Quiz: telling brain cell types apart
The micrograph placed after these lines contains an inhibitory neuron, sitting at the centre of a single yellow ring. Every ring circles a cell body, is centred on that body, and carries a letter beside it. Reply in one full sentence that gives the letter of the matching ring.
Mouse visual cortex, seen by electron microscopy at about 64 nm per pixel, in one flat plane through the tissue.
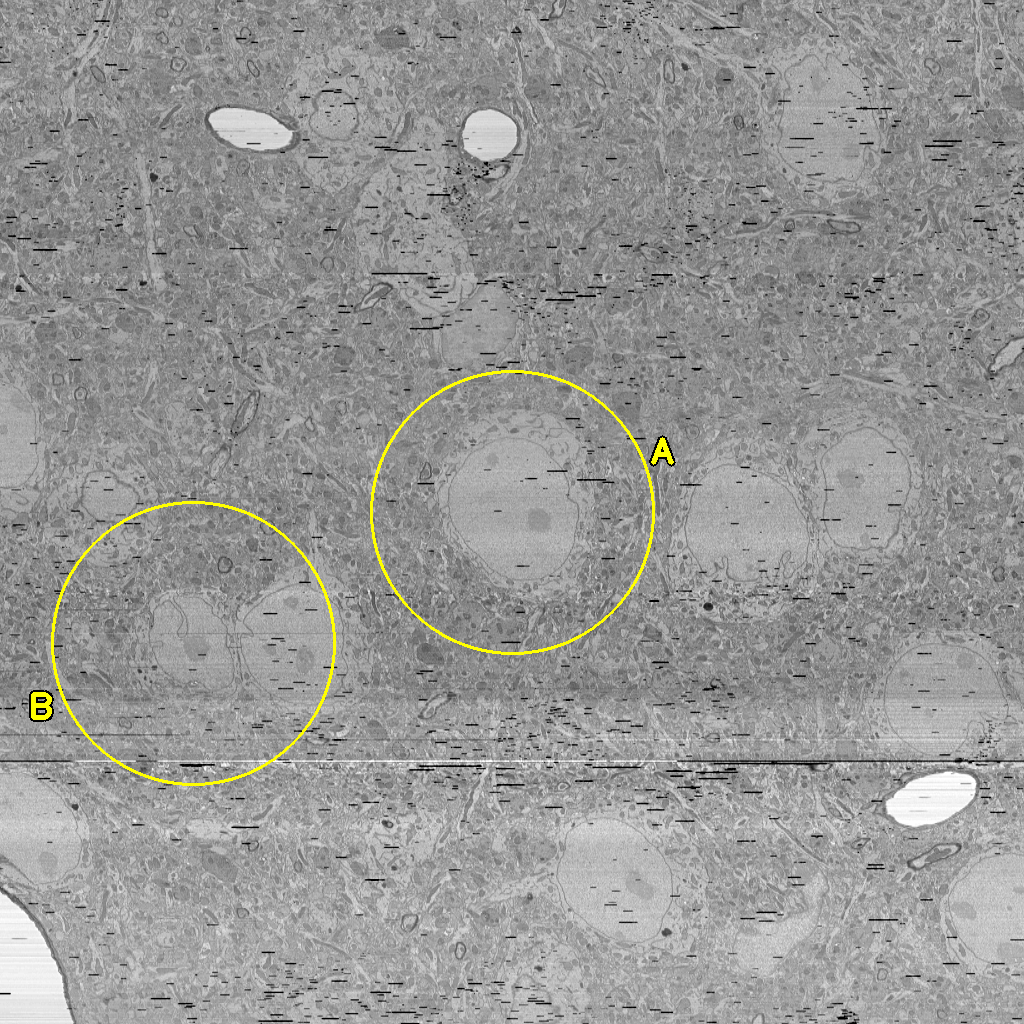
The cell asked for lies at the centre of ring B in the picture.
